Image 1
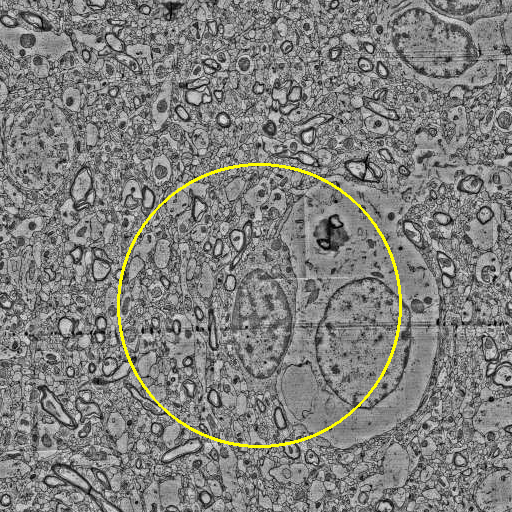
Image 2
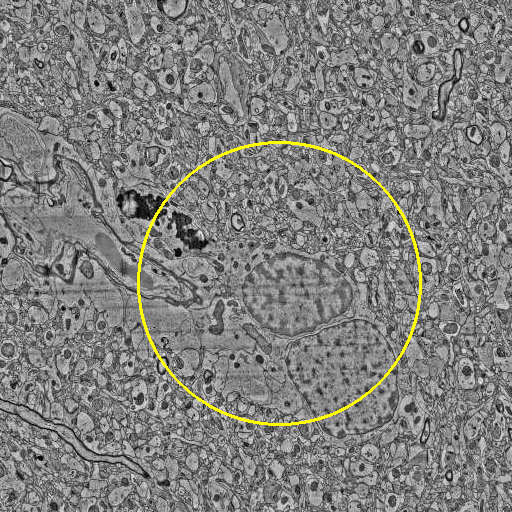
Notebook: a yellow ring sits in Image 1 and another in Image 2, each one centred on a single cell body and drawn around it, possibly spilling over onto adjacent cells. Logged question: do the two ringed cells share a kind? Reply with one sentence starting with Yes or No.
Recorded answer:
Yes, both centre cells inside the rings of Image 1 and Image 2 share one kind.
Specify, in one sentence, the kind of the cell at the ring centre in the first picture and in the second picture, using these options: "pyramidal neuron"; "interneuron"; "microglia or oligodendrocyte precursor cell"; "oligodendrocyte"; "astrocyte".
In each of the two pictures, the ringed cell is an oligodendrocyte.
